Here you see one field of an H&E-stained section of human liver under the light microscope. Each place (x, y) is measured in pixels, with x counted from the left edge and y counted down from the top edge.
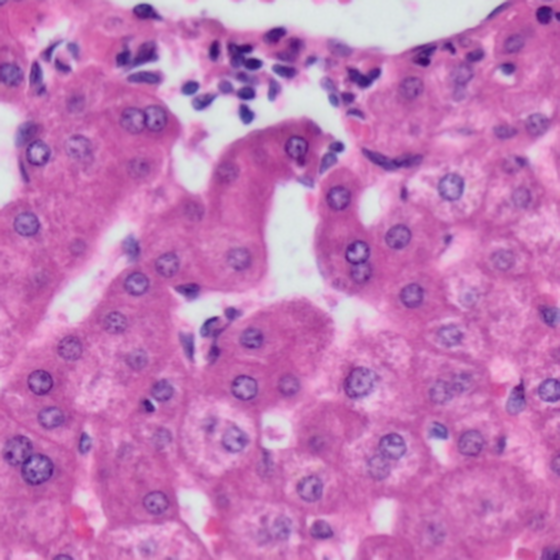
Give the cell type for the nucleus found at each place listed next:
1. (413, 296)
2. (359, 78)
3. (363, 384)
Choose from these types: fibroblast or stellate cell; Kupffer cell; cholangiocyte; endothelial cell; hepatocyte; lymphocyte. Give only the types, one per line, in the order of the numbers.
hepatocyte
fibroblast or stellate cell
hepatocyte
